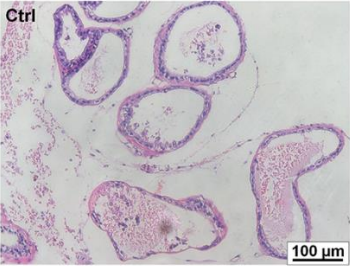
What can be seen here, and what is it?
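Prostate tissue with several rounded glands lying in loose, pale connective tissue stroma. The lumens are wide and open, containing pale, finely granular or reticular pink secretion. The lining shows only gentle folds. Between glands the stroma is sparse, with scattered thin fibres and few cells, and a thin pink band surrounds each gland.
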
